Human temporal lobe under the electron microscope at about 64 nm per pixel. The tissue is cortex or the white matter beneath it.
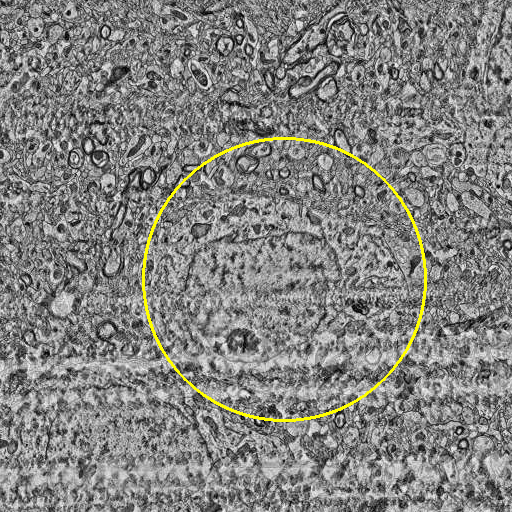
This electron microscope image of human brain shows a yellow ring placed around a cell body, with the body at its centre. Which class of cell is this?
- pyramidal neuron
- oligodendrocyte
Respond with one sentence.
The cell body at the ring's centre is a pyramidal neuron.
